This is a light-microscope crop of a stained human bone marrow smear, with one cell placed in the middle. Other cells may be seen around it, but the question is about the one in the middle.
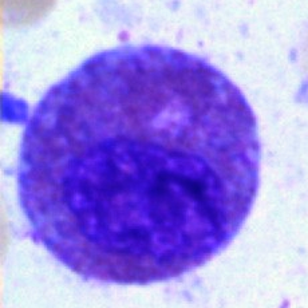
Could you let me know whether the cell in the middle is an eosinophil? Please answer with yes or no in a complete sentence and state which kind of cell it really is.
Yes, the cell positioned at the centre of the crop is an eosinophil.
